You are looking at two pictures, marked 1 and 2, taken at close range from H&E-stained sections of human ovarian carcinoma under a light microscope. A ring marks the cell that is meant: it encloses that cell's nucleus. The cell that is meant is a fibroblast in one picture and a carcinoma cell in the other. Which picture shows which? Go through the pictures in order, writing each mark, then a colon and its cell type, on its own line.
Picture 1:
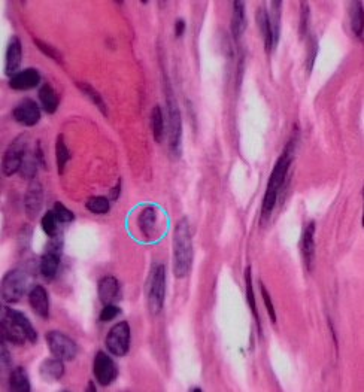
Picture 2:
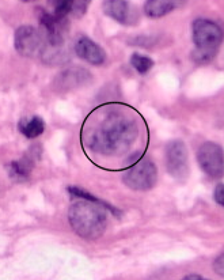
1: fibroblast
2: carcinoma cell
